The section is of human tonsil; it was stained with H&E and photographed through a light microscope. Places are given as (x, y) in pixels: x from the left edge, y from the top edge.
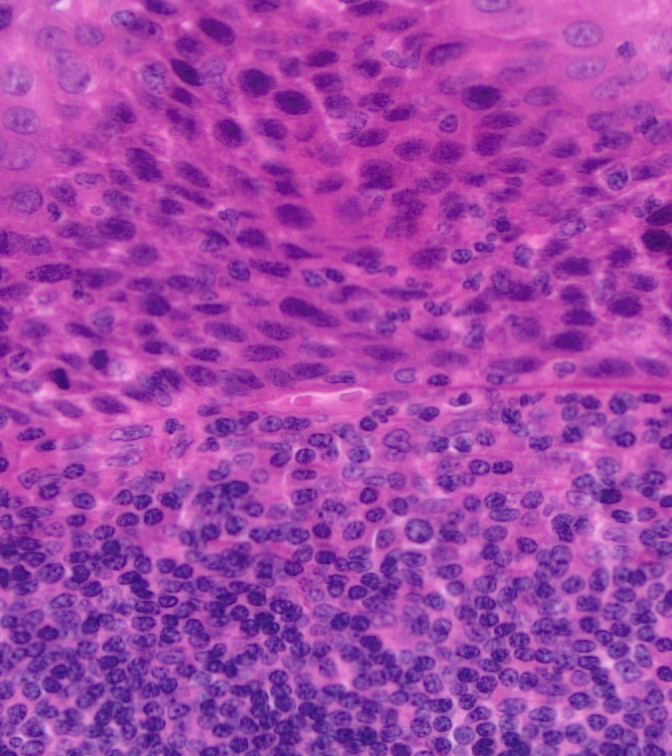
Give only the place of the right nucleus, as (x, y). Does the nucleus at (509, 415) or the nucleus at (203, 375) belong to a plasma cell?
(509, 415)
